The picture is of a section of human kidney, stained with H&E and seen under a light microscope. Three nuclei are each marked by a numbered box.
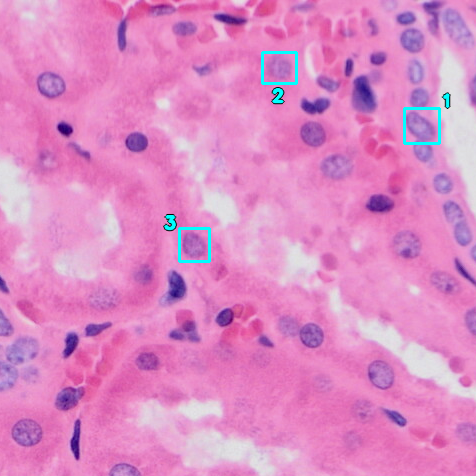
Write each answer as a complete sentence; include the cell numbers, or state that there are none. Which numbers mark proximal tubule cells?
The cells tagged 2 and 3 are proximal tubule cells in this tissue section.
